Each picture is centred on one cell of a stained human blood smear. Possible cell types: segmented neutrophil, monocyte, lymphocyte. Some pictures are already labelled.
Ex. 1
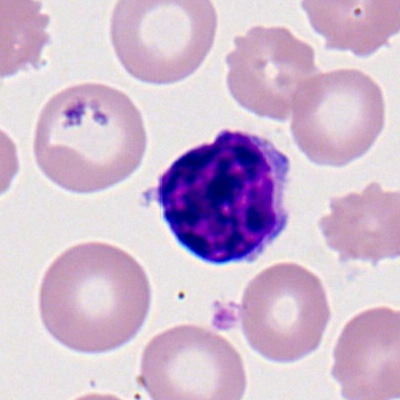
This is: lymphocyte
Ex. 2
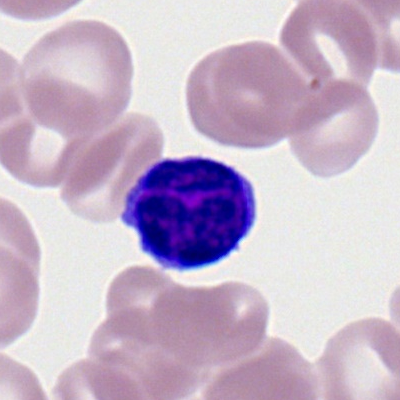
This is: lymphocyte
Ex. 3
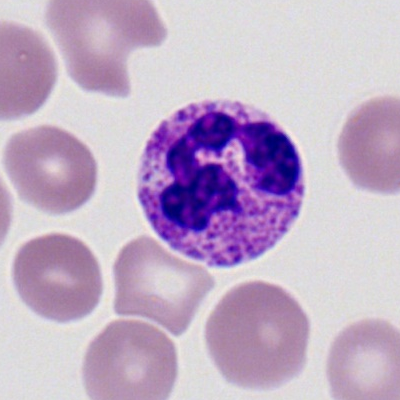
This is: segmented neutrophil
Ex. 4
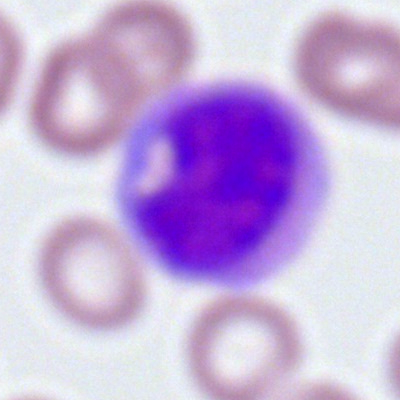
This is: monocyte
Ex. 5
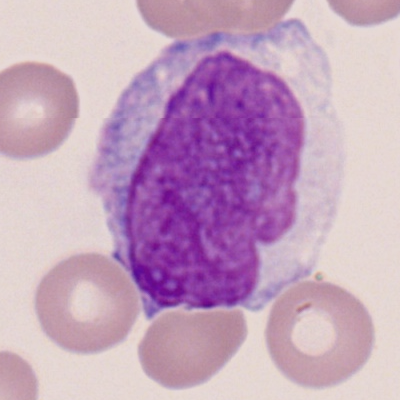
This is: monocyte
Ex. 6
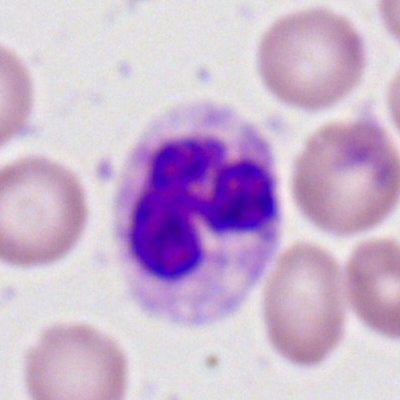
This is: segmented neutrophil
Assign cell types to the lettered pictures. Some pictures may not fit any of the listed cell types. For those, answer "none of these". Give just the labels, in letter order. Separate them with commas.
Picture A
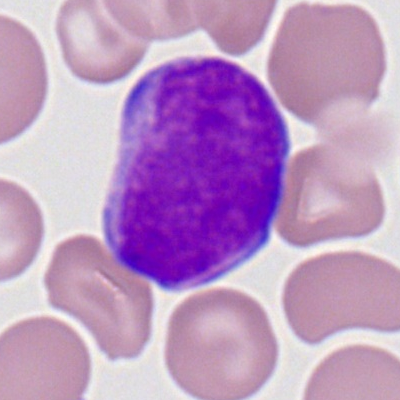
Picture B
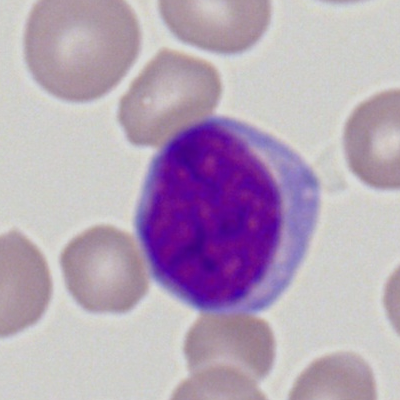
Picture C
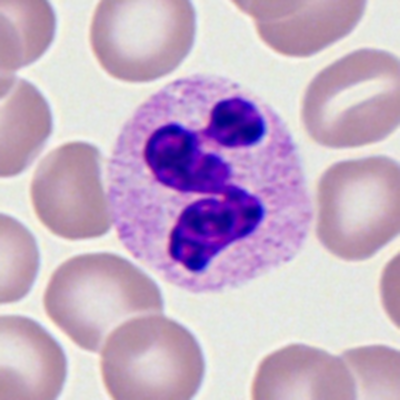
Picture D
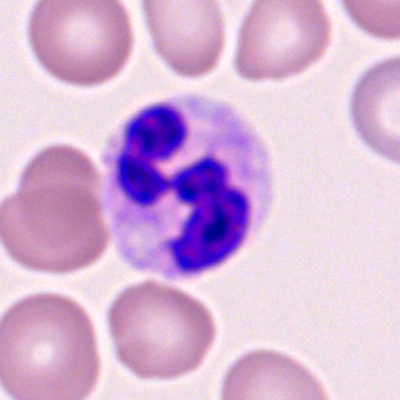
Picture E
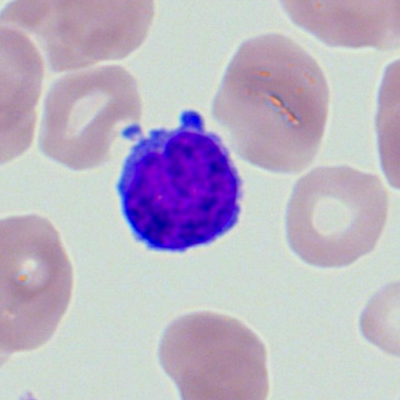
none of these, lymphocyte, segmented neutrophil, segmented neutrophil, lymphocyte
